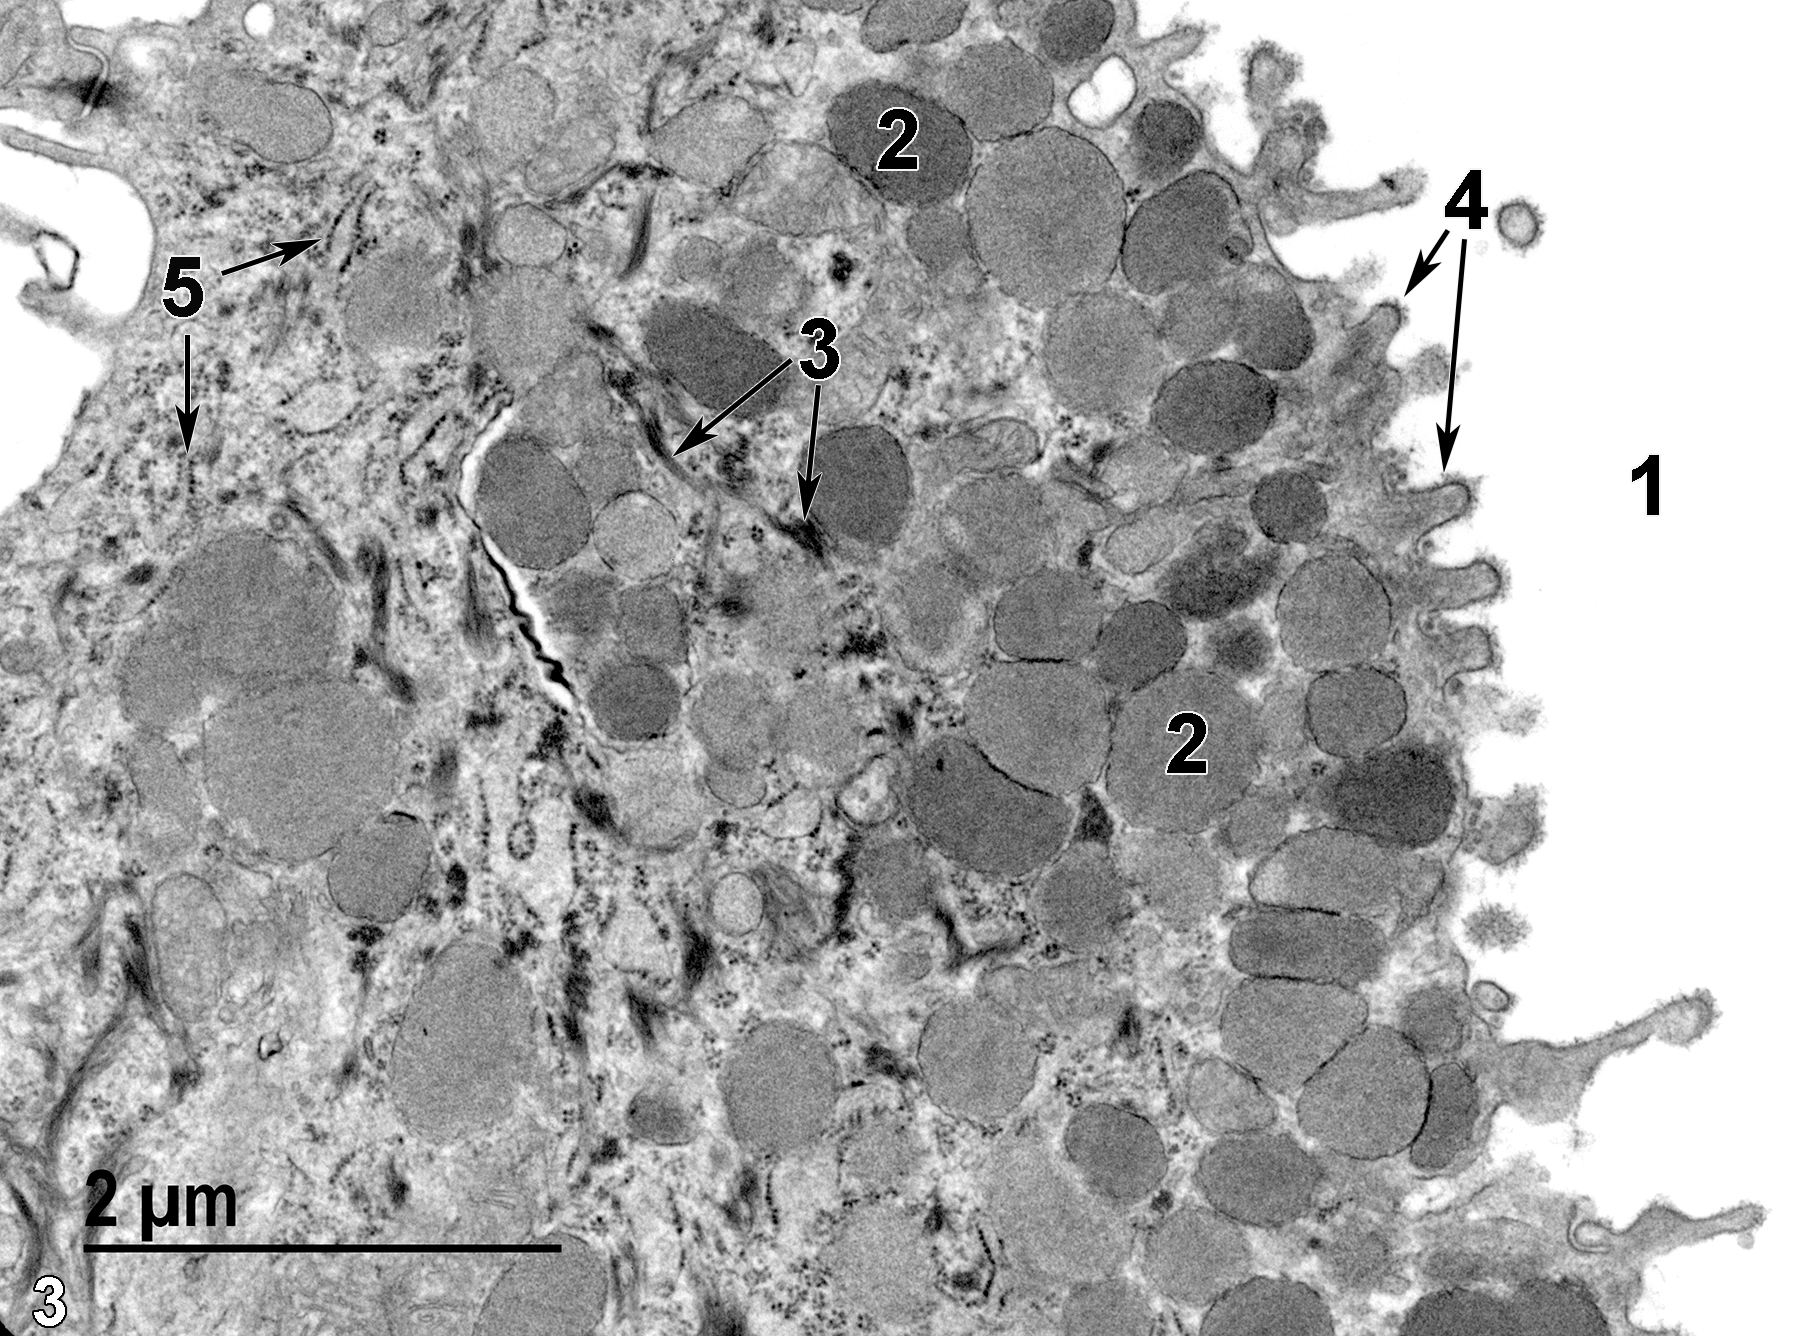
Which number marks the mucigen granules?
Number 2.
